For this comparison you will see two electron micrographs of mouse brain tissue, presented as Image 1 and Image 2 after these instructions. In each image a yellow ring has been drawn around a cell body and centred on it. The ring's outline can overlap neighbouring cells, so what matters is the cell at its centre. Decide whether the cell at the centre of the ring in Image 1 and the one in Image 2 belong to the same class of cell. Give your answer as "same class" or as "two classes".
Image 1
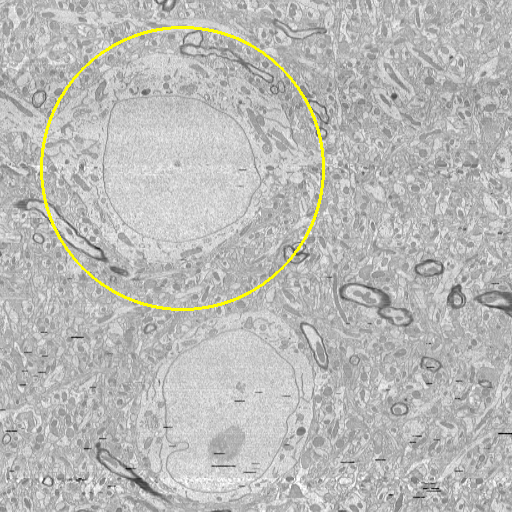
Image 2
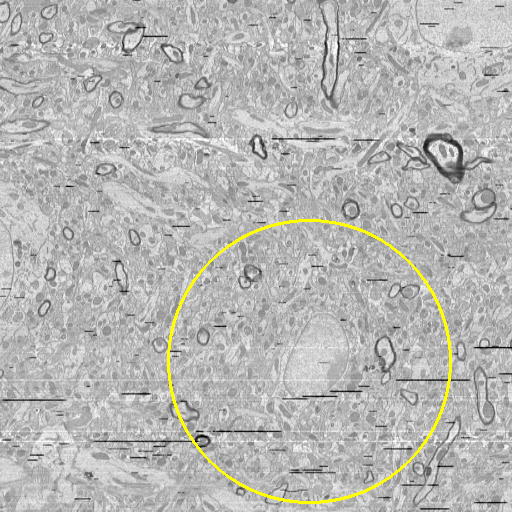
two classes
